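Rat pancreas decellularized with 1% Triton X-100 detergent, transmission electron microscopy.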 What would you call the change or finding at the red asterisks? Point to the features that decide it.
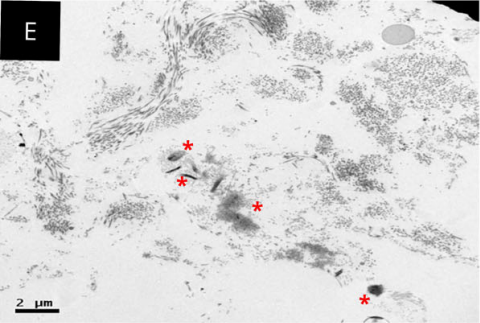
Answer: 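Cellular remains. Small dense, irregular dark bodies lie scattered in a pale fibrillar matrix. No intact cells with nuclei are visible around them.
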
